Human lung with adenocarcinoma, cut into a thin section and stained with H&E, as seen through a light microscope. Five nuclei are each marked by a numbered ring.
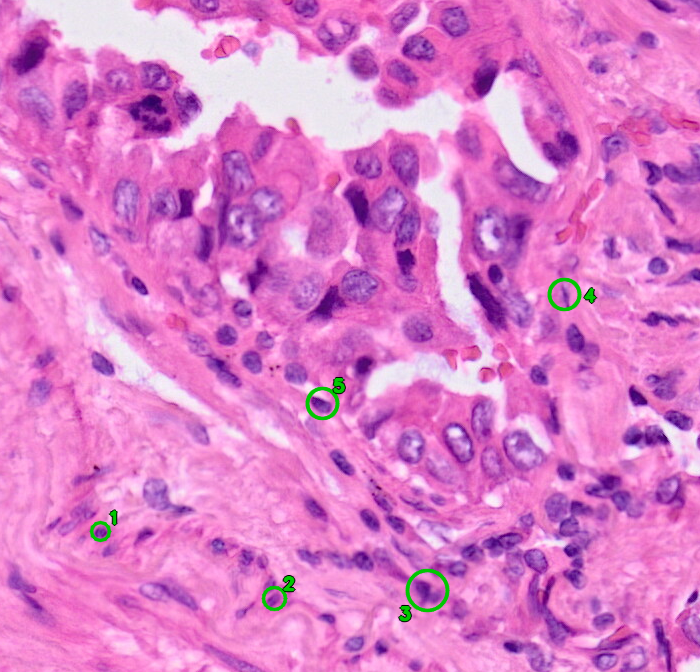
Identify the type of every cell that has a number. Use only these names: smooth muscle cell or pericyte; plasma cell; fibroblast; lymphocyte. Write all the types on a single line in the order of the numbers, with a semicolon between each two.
smooth muscle cell or pericyte; smooth muscle cell or pericyte; plasma cell; fibroblast; lymphocyte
